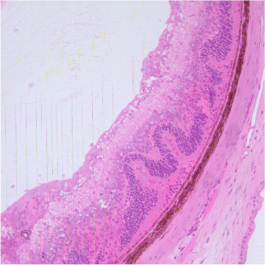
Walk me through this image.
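The outer nuclear layer is thrown into repeated undulating folds rather than running as a straight band. The dark pigmented layer beneath stays comparatively smooth and continuous. The inner layers toward the vitreous are thickened and irregular, with loose pink tissue containing scattered nuclei. The normal parallel layering is disrupted over much of the field.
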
